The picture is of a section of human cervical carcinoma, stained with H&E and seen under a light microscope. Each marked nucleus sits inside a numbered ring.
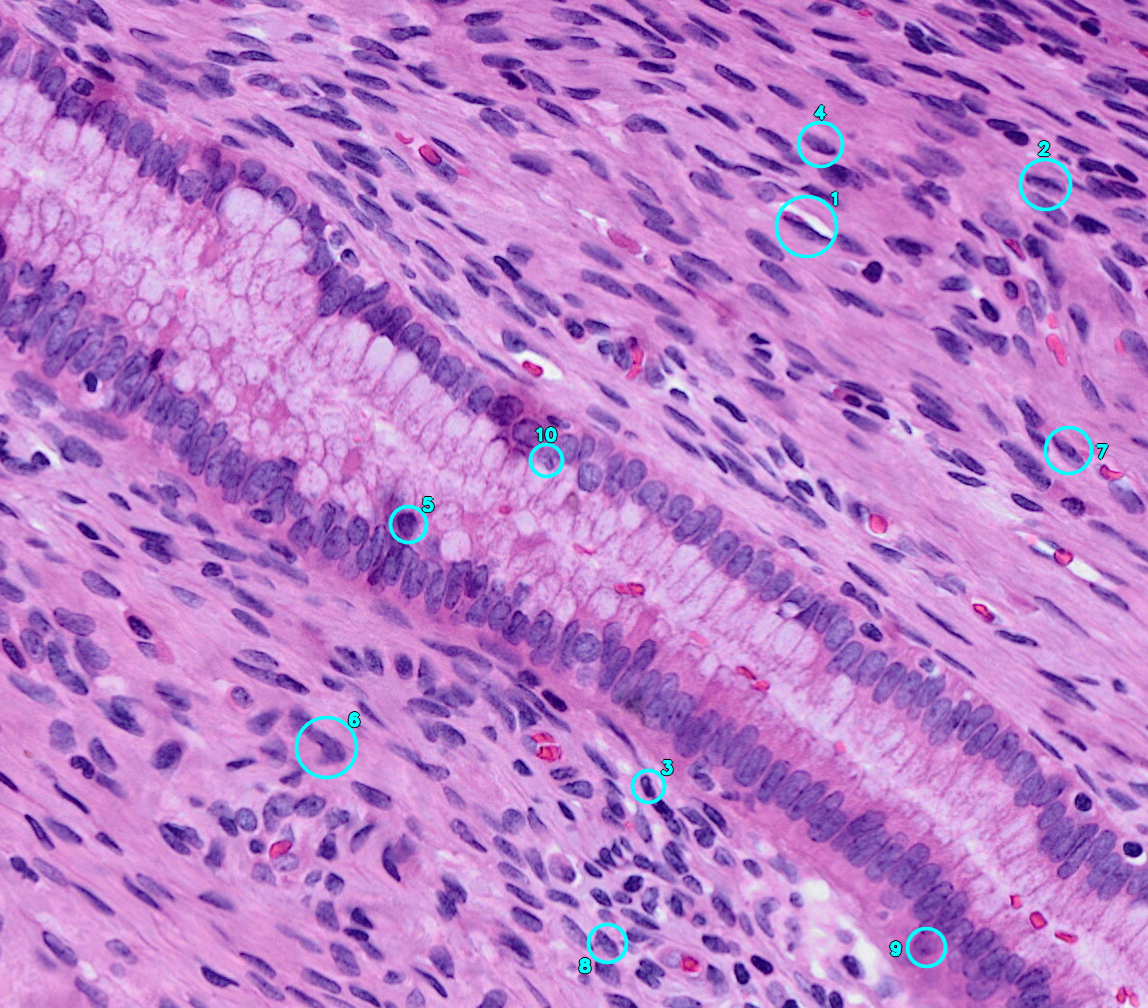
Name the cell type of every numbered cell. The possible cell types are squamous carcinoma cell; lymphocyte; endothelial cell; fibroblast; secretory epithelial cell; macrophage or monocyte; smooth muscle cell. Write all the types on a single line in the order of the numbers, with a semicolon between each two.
endothelial cell; fibroblast; lymphocyte; fibroblast; secretory epithelial cell; fibroblast; endothelial cell; fibroblast; secretory epithelial cell; secretory epithelial cell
